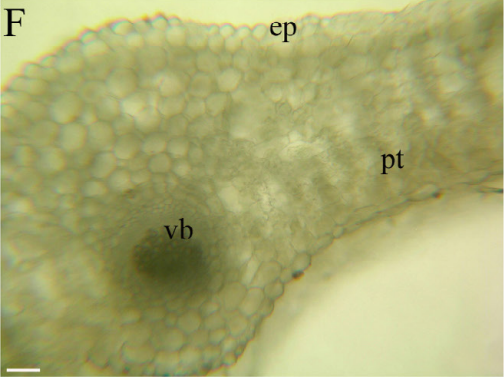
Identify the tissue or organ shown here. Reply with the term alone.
Leaf blades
